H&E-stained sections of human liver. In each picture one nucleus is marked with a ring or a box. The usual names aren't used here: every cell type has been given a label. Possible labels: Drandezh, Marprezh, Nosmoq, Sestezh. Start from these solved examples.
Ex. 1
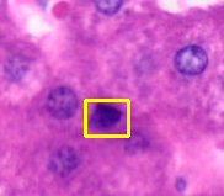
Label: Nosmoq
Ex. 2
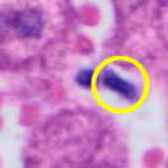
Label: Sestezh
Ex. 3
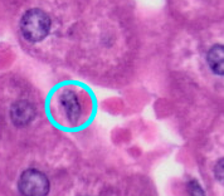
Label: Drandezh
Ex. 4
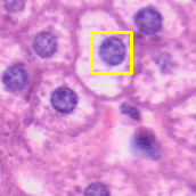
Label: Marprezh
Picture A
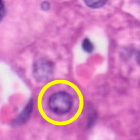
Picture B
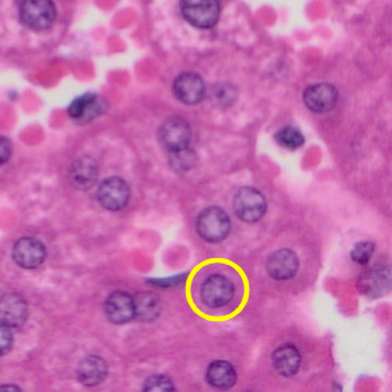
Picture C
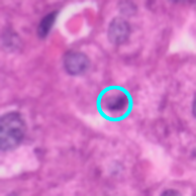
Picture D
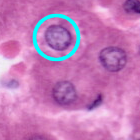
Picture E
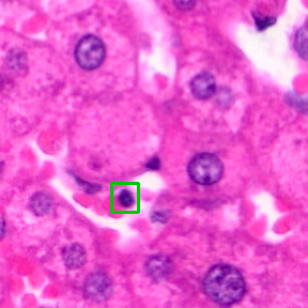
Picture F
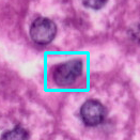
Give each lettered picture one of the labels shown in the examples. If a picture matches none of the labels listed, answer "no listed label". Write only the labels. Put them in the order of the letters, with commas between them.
Marprezh, Marprezh, Nosmoq, Marprezh, Sestezh, Drandezh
